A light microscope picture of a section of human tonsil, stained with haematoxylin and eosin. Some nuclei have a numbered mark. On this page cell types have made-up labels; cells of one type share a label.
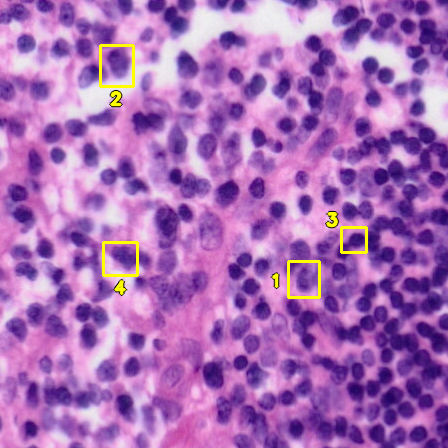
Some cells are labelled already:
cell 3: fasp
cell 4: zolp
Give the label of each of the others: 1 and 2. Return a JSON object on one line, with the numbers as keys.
{"1": "zolp", "2": "zolp"}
